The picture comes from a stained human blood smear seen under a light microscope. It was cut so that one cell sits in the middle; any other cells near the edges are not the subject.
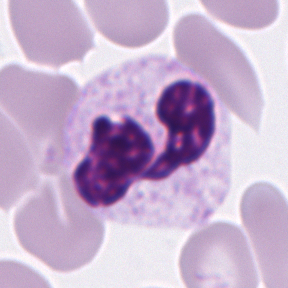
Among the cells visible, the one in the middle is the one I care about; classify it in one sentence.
In this crop, the cell at the very middle is a neutrophil.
